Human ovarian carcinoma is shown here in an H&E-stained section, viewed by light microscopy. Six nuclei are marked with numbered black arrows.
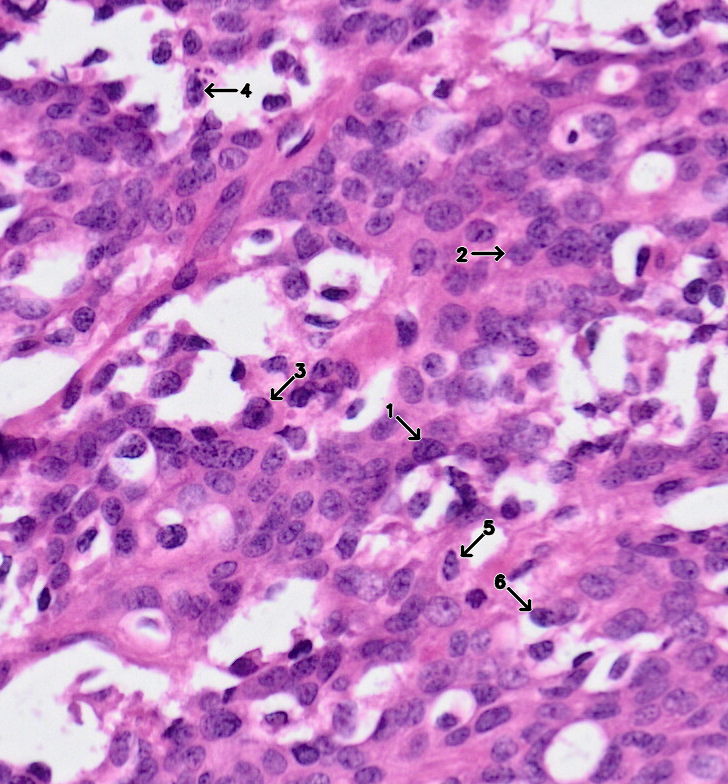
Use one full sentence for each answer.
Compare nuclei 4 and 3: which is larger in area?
At about 2 times the area of nucleus 4, nucleus 3 is the larger of the two.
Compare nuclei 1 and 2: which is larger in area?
Nucleus 1 is the larger one, covering about 1.5 times the area of nucleus 2.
